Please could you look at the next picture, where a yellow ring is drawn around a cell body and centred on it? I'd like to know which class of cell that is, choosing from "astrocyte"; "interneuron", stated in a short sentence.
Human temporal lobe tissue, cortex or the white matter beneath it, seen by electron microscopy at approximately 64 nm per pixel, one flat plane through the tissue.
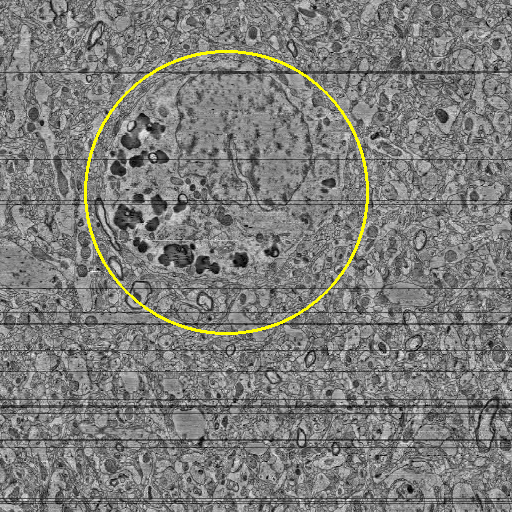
The ring's centre lies on an interneuron.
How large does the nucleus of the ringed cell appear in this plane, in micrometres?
The nucleus is approximately 10 micrometers long by 8 micrometers wide in this plane.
